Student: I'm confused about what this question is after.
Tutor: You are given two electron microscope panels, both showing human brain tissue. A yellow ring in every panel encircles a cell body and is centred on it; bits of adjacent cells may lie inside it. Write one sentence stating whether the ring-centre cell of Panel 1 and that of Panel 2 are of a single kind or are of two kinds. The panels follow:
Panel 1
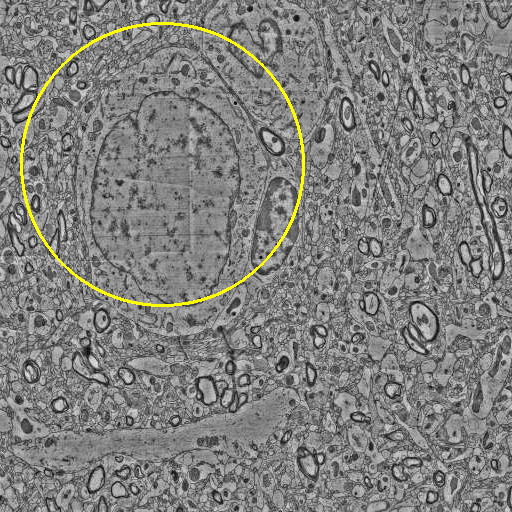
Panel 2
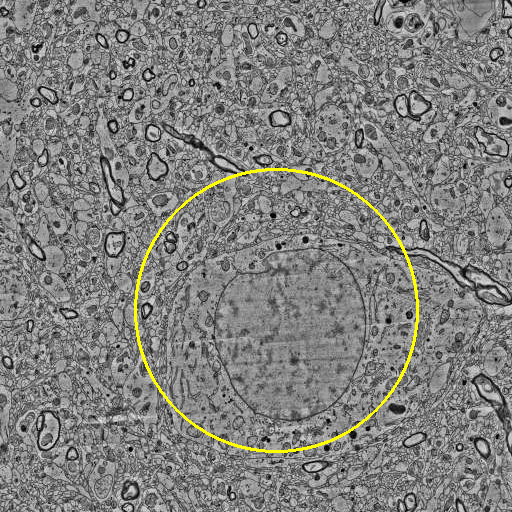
Here, the Panel 1 ring-centre cell and the Panel 2 ring-centre cell are of a single kind.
